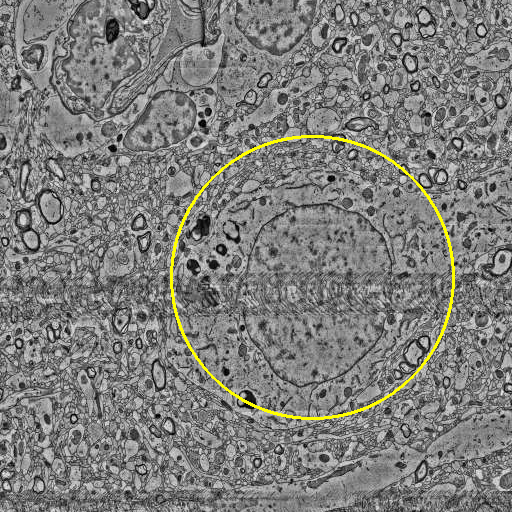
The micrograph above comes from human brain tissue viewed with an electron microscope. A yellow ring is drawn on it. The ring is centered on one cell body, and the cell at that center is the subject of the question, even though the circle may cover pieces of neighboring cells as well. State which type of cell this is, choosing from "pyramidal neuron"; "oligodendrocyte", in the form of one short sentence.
The cell the ring is centered on is a pyramidal neuron.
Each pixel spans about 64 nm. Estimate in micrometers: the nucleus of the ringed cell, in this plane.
In this plane, the nucleus of the cell at the centre of the ring measures about 12 by 10 micrometres.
